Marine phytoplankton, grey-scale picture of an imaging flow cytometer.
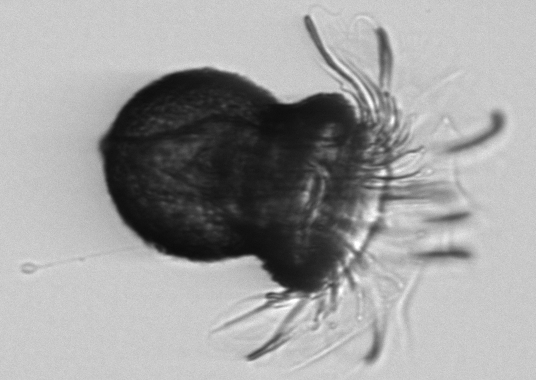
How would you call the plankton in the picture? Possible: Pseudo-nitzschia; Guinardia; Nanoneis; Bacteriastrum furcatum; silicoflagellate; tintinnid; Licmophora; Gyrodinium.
I would call it a tintinnid.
